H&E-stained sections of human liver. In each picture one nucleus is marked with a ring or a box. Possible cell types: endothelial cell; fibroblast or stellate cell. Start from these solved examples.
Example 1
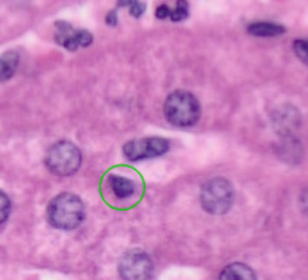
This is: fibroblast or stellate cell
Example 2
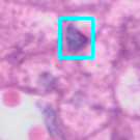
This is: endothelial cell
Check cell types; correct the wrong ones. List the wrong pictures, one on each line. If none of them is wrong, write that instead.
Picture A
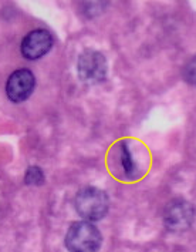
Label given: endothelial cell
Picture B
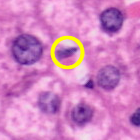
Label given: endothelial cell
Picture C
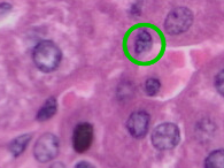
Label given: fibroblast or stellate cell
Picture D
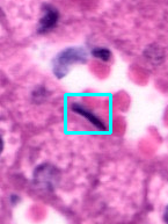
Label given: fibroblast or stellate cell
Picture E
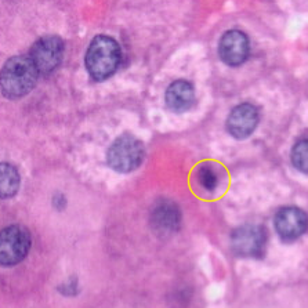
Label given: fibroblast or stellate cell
All labels are correct.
